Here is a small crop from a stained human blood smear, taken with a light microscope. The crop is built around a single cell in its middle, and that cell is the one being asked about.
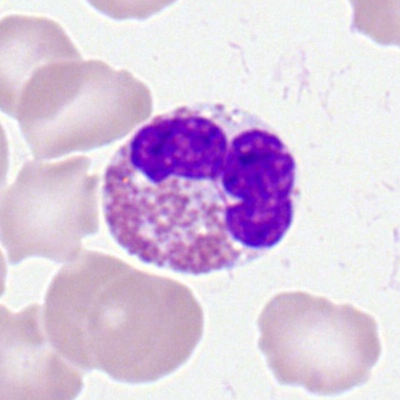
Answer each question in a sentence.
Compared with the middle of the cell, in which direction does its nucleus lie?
The nucleus lies toward the upper right of the cell.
